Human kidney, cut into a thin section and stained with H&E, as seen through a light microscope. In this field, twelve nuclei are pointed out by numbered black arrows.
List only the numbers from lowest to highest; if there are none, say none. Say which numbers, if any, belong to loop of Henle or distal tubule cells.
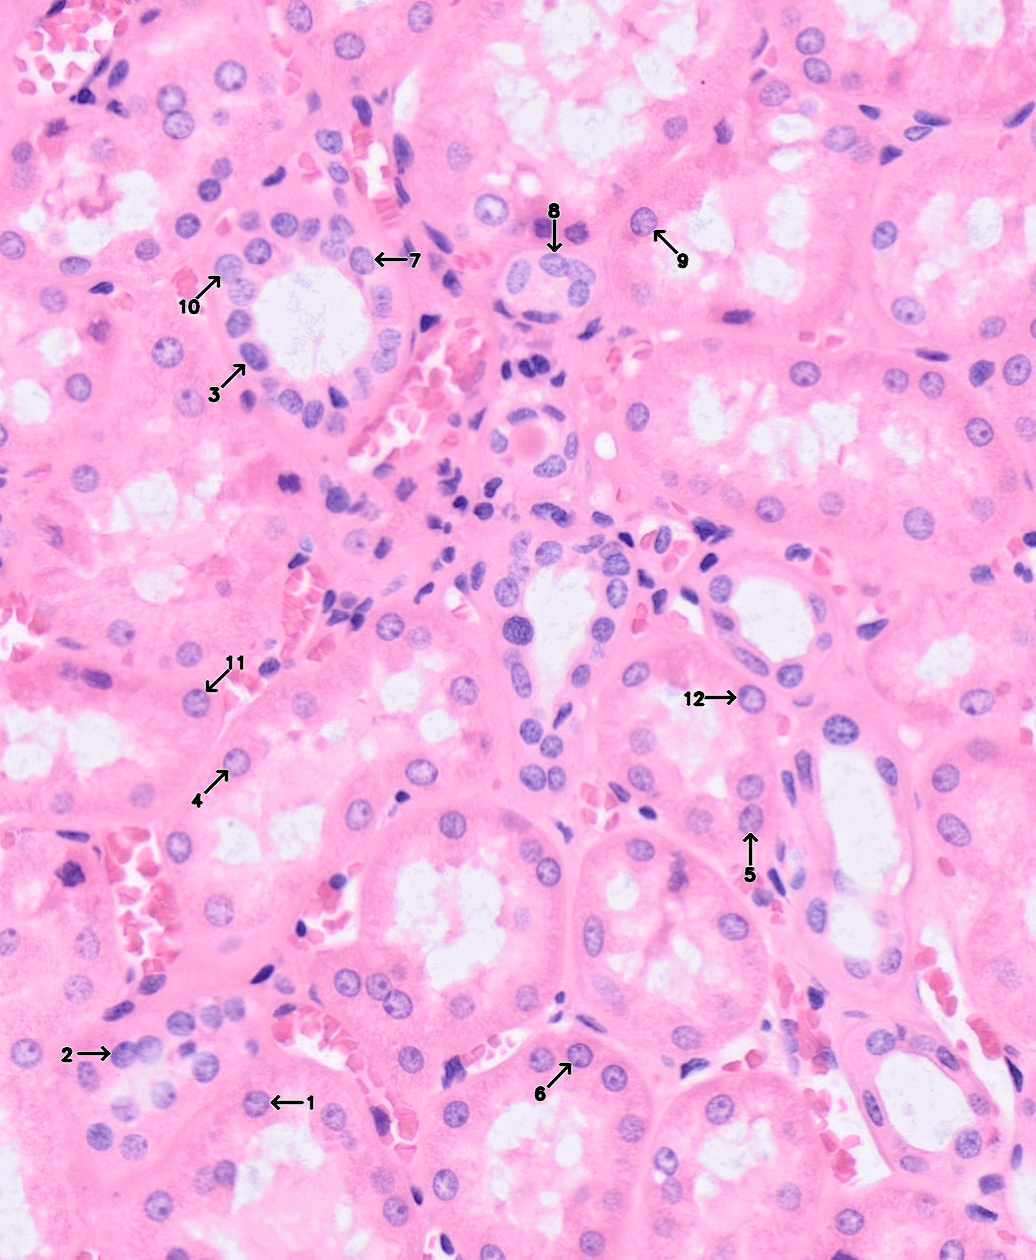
2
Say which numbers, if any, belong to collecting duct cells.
3, 7, 8, 10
